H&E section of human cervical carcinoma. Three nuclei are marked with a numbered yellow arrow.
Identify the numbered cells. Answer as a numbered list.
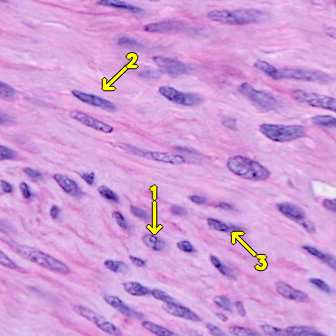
1. smooth muscle cell
2. fibroblast
3. smooth muscle cell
